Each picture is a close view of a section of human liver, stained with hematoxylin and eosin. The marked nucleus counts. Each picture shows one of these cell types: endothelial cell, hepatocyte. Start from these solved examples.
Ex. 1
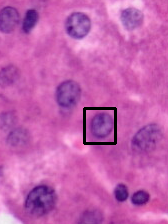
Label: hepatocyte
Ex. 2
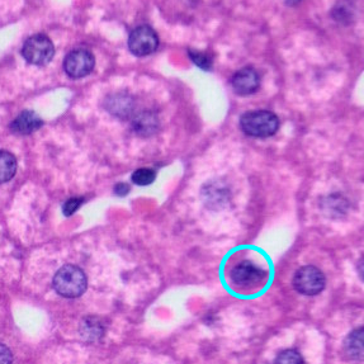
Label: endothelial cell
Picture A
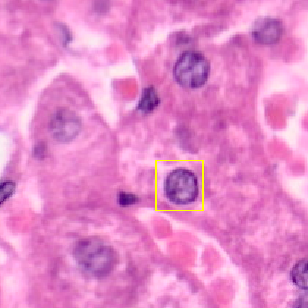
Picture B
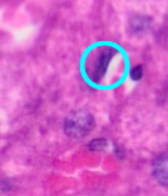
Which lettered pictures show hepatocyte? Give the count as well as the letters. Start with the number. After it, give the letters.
1, namely A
